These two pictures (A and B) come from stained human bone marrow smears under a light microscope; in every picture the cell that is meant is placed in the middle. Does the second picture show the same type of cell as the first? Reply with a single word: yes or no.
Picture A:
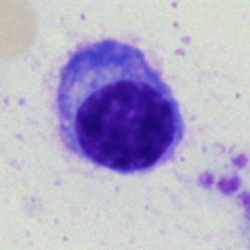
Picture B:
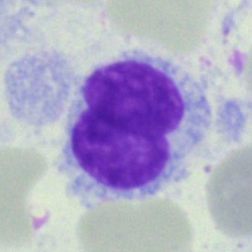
no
